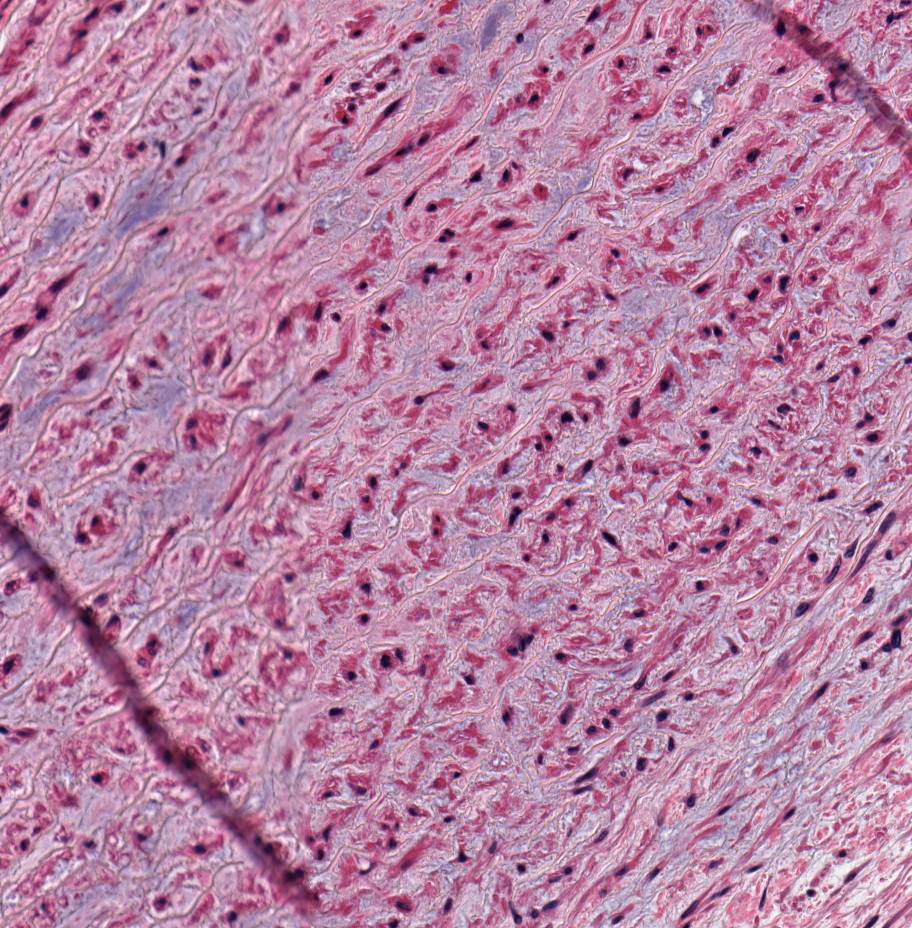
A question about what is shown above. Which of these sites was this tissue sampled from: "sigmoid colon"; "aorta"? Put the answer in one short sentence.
The site this tissue was sampled from is the aorta.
